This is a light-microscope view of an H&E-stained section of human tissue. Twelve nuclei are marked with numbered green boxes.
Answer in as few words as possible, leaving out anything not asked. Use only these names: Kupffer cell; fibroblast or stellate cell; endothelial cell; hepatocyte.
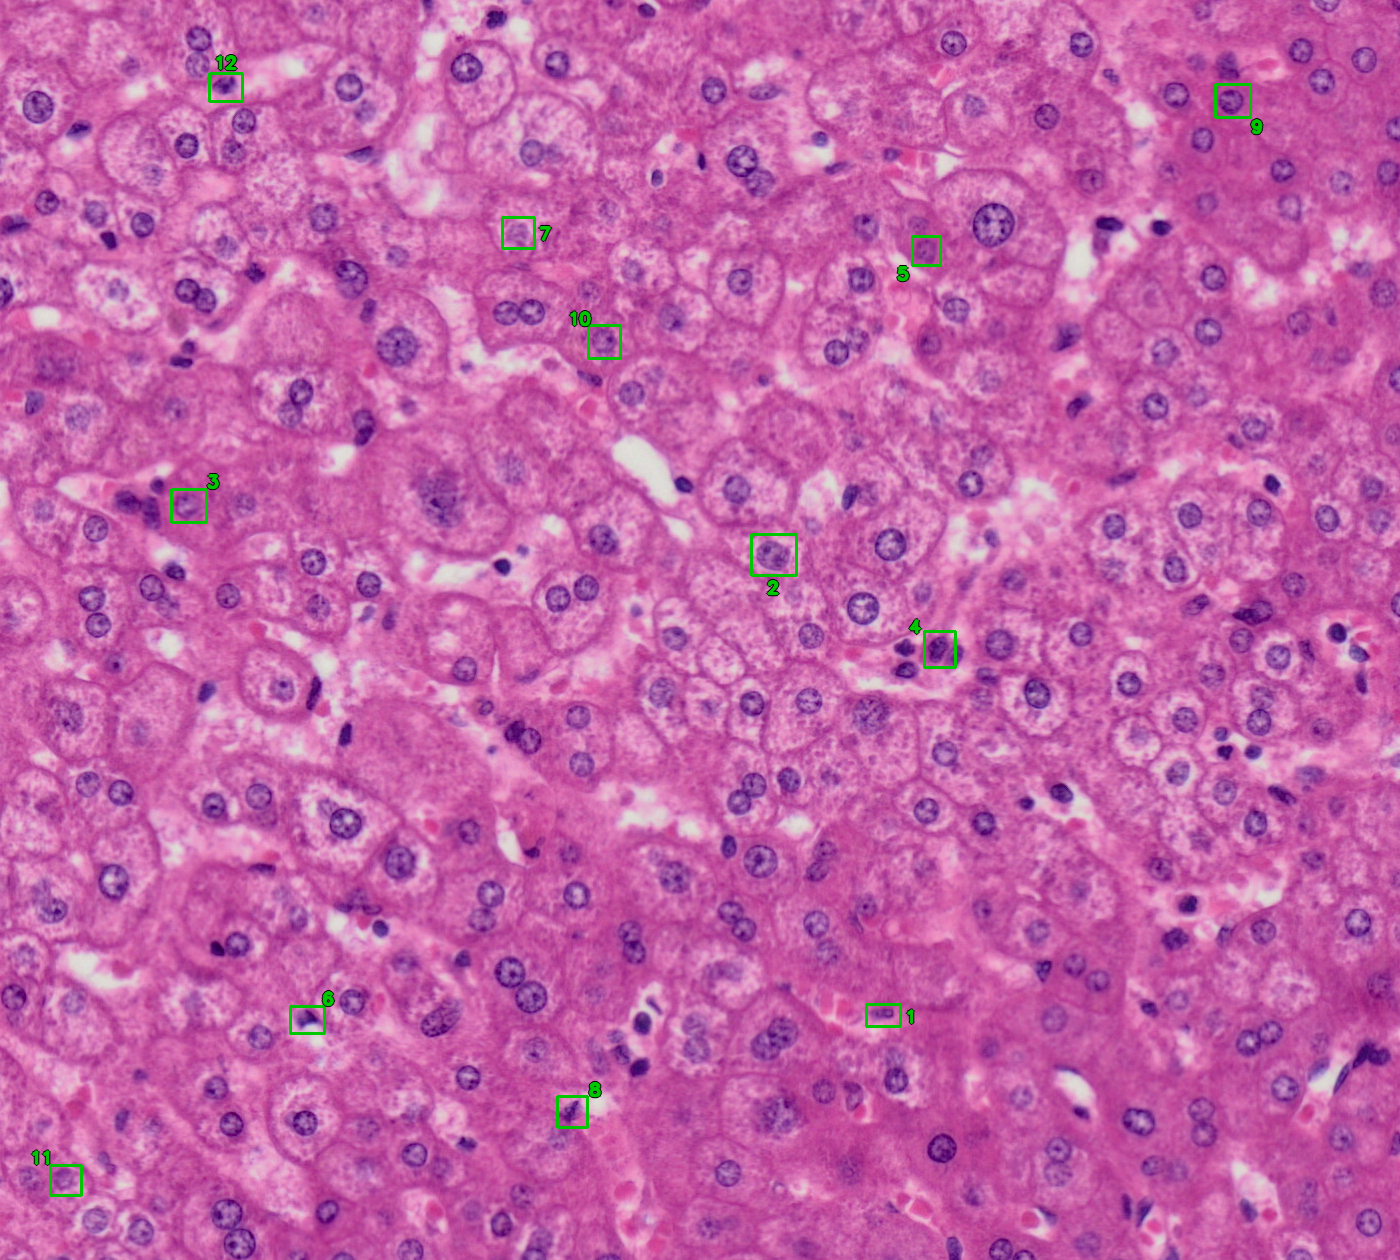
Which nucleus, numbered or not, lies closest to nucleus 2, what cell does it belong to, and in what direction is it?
a Kupffer cell, above and to the right of nucleus 2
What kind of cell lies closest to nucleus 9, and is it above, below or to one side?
an endothelial cell, above nucleus 9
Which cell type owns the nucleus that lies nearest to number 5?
hepatocyte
